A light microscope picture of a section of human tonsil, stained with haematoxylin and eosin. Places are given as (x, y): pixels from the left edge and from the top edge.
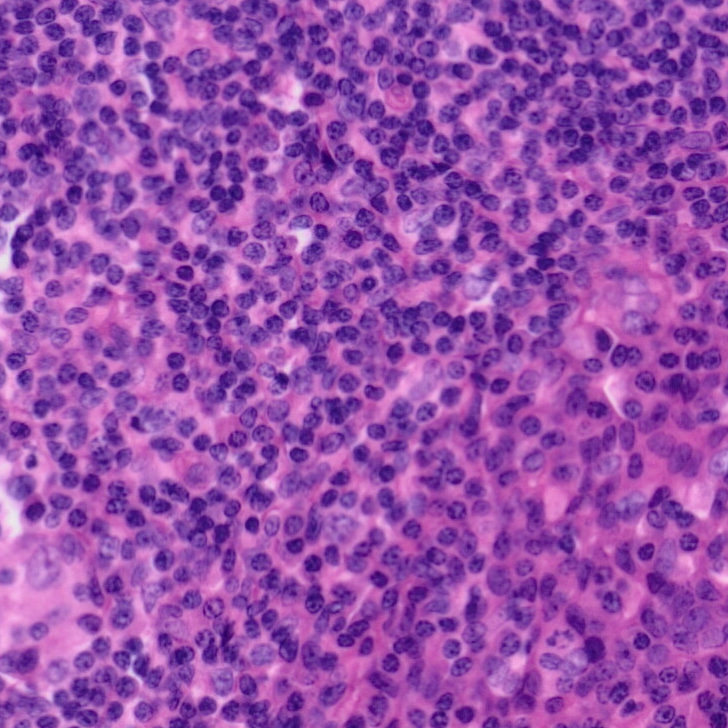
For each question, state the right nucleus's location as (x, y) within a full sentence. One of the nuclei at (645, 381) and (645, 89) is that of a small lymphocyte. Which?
The nucleus found at (645, 89) belongs to a small lymphocyte.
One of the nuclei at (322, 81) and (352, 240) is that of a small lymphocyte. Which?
At (322, 81) lies the nucleus that belongs to a small lymphocyte.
